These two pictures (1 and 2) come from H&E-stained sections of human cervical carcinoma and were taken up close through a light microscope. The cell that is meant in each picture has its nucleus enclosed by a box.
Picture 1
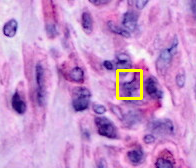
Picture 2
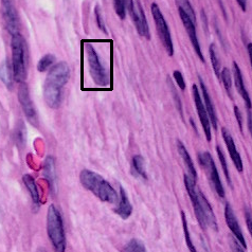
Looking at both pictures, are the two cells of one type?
no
